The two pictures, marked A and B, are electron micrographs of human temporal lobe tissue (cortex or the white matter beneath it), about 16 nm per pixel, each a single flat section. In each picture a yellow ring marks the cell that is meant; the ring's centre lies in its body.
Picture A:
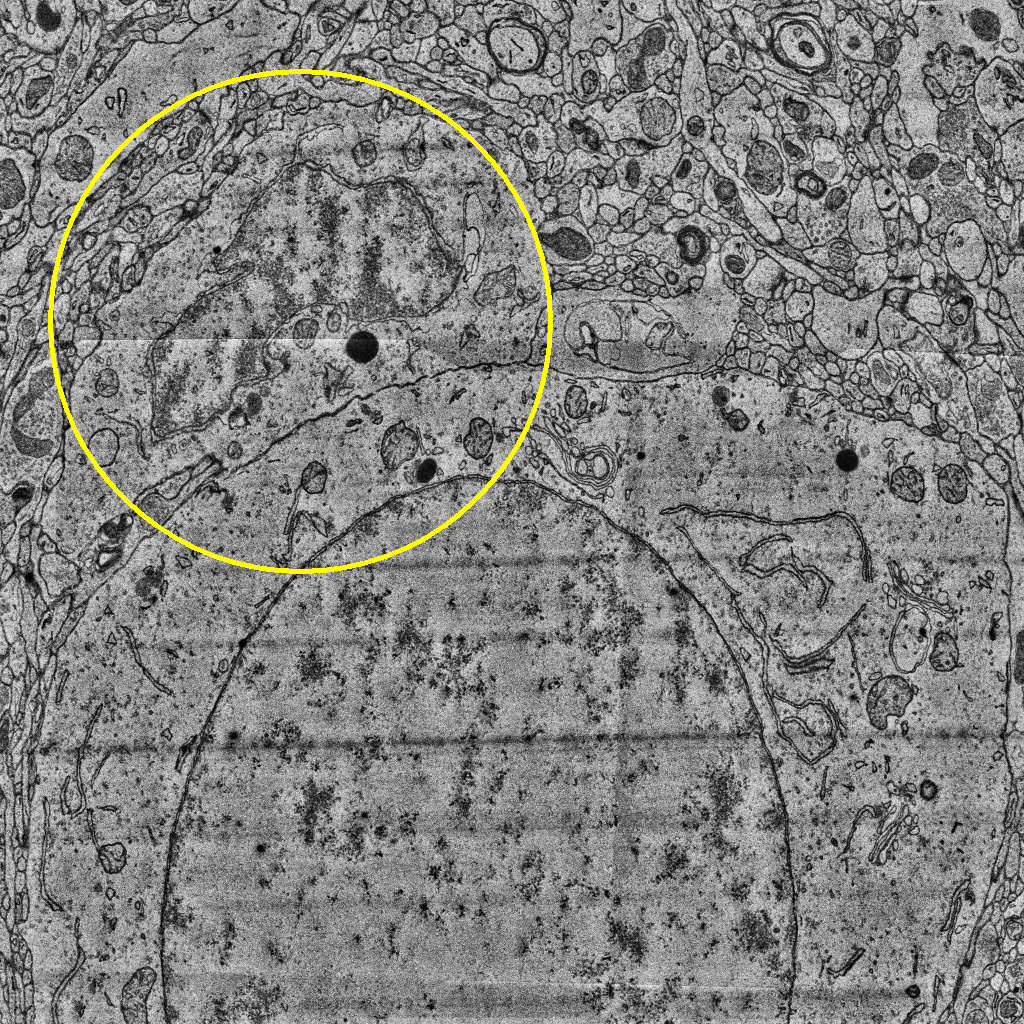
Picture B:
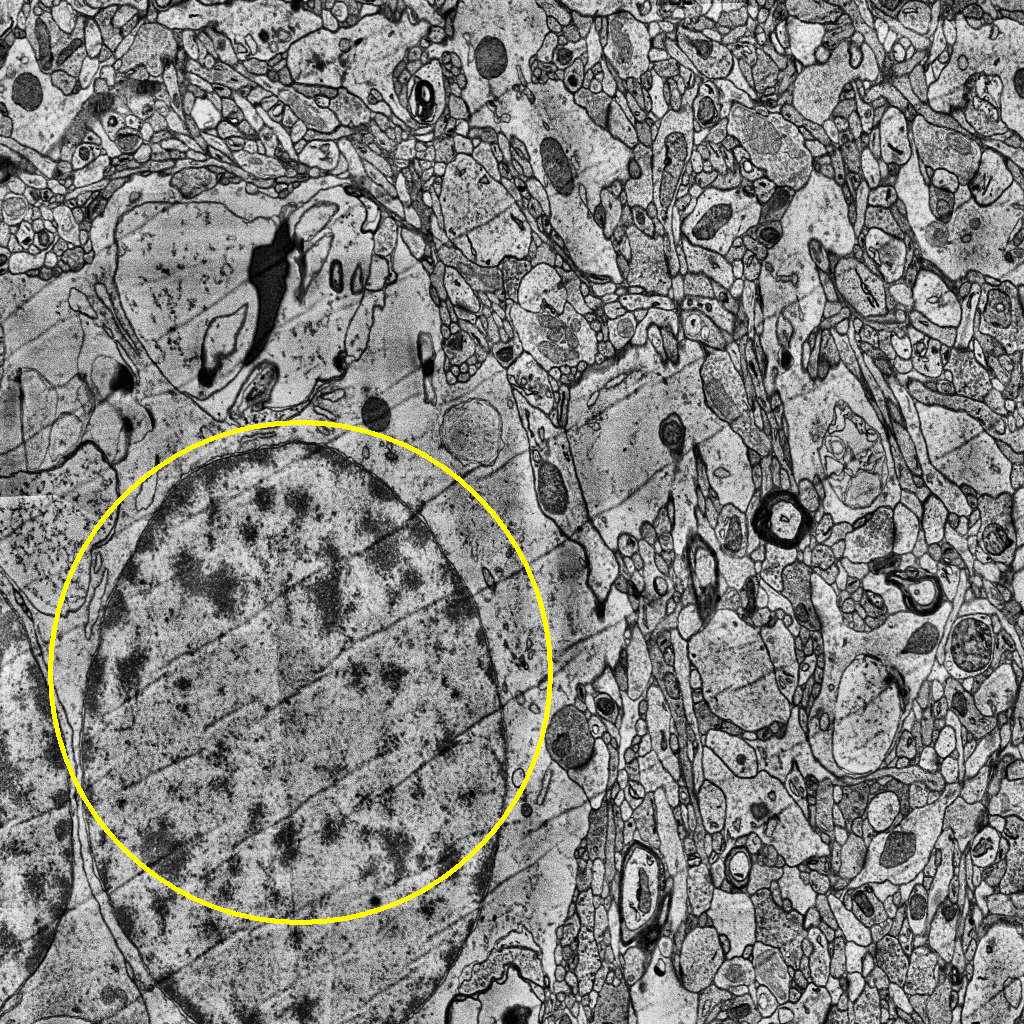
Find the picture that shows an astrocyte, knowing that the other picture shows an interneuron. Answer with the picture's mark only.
B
